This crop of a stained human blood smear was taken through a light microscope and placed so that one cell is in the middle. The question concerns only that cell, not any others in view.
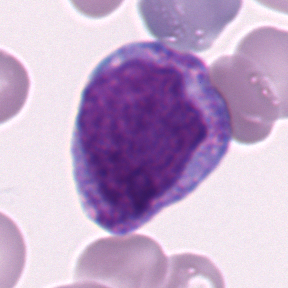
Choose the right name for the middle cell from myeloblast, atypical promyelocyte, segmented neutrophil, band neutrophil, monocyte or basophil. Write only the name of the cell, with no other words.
atypical promyelocyte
